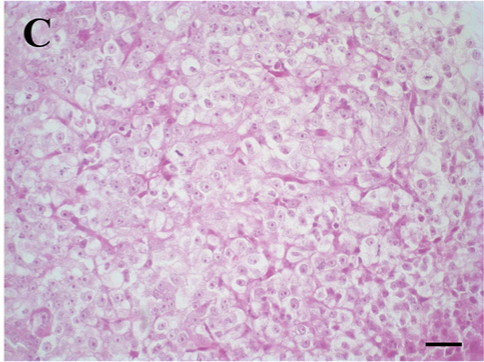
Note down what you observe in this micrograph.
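A solid tumor is shown as a dense sheet of closely packed tumor cells with no glandular or layered organisation. The cells are polygonal to rounded, with pale, partly clear or vacuolated pink cytoplasm and sharp cell borders. Their nuclei are round to oval, often with a distinct nucleolus, and vary noticeably in size and shape from cell to cell. Thin pink strands run irregularly between groups of cells.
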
